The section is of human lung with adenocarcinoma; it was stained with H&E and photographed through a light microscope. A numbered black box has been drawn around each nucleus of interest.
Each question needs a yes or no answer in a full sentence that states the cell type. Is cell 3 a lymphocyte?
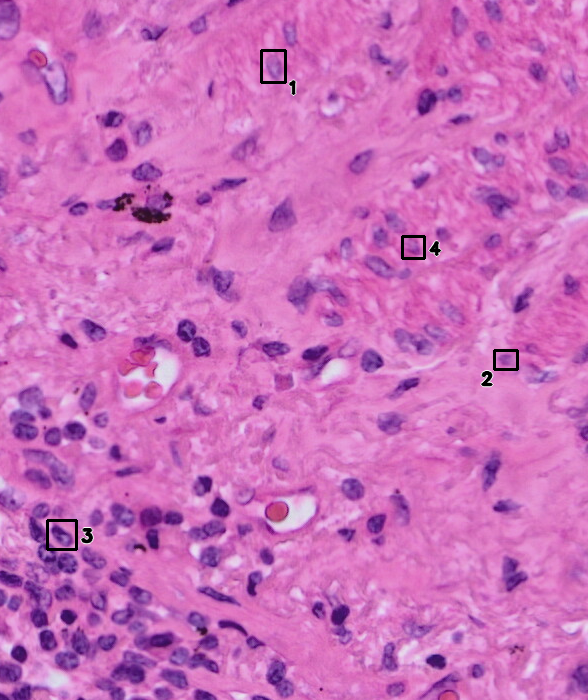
Yes, the marked cell with number 3 is a lymphocyte.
